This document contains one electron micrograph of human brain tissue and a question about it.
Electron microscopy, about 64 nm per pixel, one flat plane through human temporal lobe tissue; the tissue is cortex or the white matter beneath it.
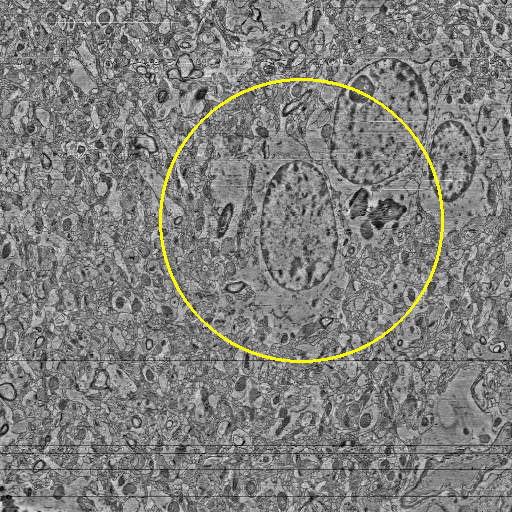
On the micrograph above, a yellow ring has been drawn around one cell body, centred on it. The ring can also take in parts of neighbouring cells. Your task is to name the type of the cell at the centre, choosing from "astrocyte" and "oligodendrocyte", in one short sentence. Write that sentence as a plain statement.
Here the ring is centred on an astrocyte.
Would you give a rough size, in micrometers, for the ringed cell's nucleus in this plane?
Clearly longer than it is wide in this plane, the nucleus measures roughly 9 by 5 micrometres.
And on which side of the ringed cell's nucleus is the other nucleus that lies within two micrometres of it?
That nucleus lies to the upper right of it.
